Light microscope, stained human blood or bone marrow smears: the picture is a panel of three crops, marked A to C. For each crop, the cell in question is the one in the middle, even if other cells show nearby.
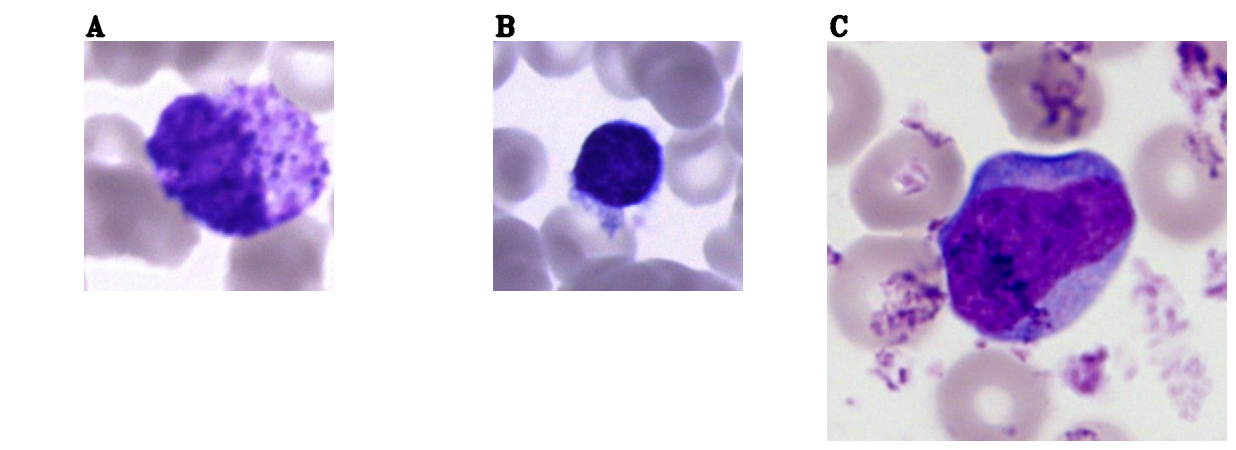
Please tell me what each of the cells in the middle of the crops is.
A: basophil
B: lymphocyte
C: blast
